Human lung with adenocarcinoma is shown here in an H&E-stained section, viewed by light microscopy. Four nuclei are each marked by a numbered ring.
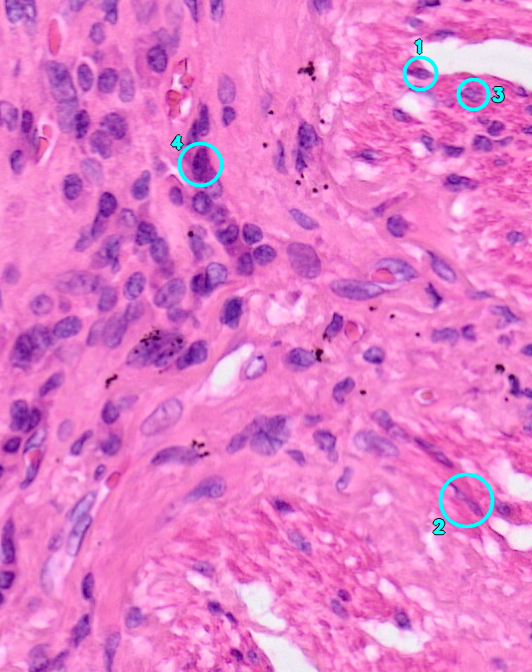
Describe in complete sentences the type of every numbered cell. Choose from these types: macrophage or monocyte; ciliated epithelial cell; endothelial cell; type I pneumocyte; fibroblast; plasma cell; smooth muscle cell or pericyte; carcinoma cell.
Cell 1 is a smooth muscle cell or pericyte, cell 2 is a smooth muscle cell or pericyte, cell 3 is a smooth muscle cell or pericyte and cell 4 is a plasma cell.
